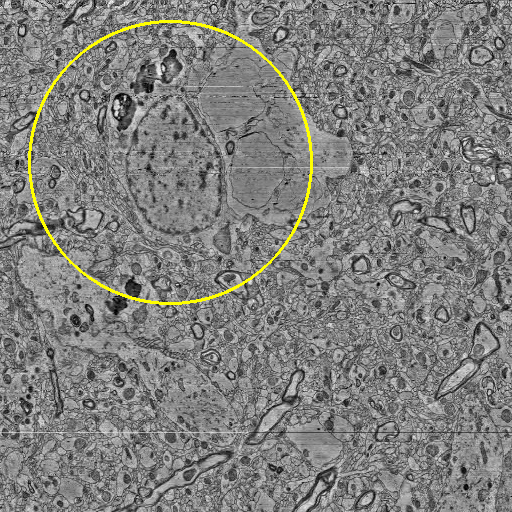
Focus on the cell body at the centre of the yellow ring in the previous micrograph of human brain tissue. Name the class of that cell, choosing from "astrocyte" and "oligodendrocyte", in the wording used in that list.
astrocyte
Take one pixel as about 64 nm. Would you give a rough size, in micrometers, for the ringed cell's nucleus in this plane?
About 9 by 6 micrometres; in this plane the nucleus is clearly longer than it is wide.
